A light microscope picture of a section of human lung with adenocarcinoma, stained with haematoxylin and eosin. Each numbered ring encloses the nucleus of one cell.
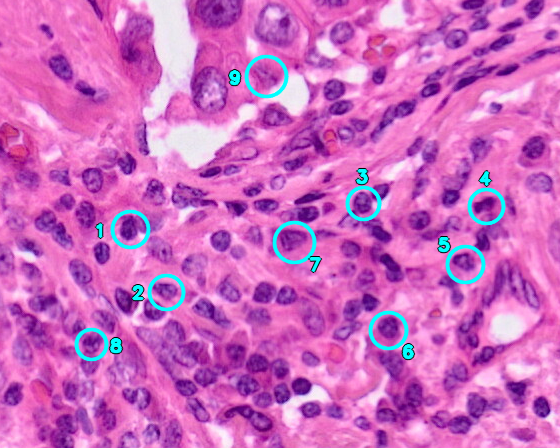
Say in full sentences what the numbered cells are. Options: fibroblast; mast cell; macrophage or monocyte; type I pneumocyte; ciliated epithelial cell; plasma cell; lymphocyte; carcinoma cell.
Cell 1 is a lymphocyte, cell 2 is a lymphocyte, cell 3 is a lymphocyte, cell 4 is a plasma cell, cell 5 is a plasma cell, cell 6 is a plasma cell, cell 7 is a plasma cell, cell 8 is a lymphocyte and cell 9 is a carcinoma cell.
